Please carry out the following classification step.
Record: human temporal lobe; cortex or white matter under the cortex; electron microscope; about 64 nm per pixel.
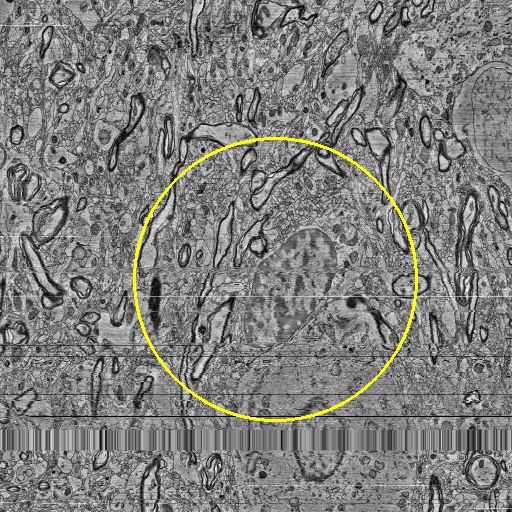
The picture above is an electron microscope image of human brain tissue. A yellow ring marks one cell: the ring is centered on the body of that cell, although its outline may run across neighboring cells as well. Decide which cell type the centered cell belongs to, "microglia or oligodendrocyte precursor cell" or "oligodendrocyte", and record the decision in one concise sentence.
The cell centered in the yellow ring is a microglial cell or oligodendrocyte precursor cell.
